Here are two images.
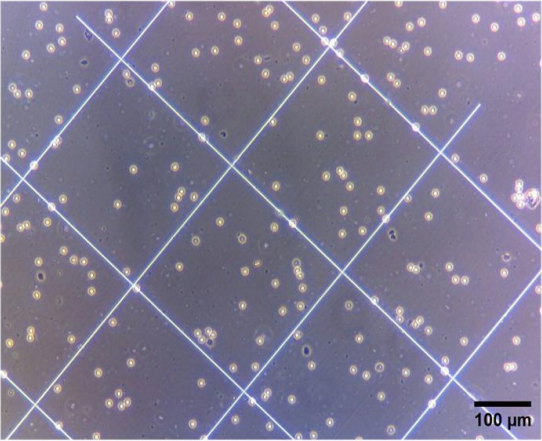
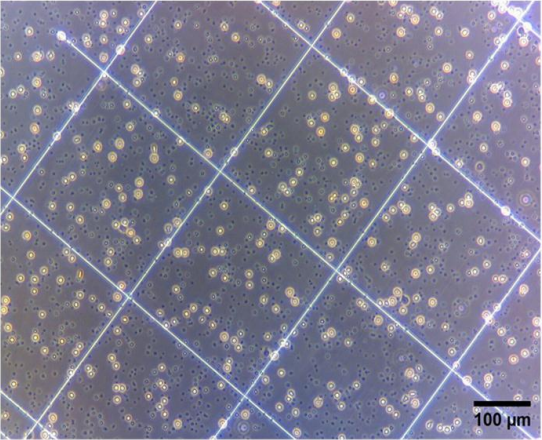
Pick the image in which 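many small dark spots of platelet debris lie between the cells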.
The second image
